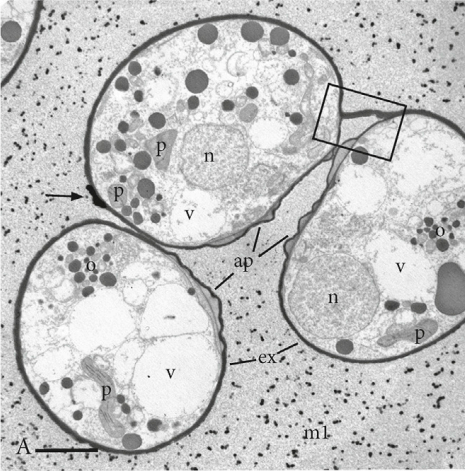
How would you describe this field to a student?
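Three spores of a tetrad sit in a pale matrix dotted with small dark globules, each outlined by a thick dark exine. Their cytoplasm is sparse, with a round granular nucleus, plastids, small dark oil droplets and several large pale vacuoles. Where the spores face one another the wall is thinner and irregular, and a dark wall remnant lies at a junction between them.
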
